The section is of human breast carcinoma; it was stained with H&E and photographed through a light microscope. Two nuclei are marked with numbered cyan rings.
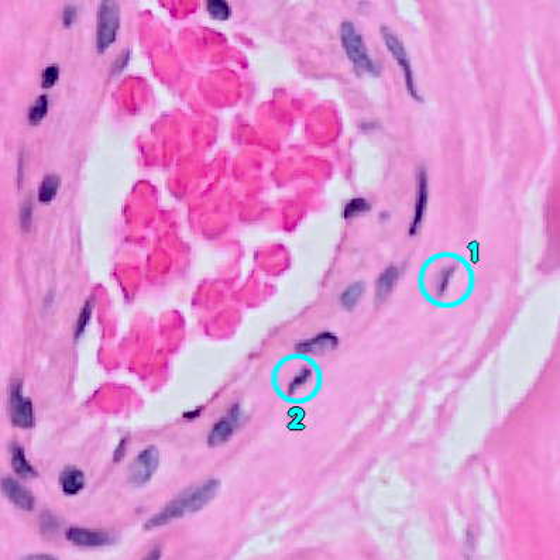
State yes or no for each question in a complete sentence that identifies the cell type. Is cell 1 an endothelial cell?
No, it is a fibroblast, not an endothelial cell, at number 1.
